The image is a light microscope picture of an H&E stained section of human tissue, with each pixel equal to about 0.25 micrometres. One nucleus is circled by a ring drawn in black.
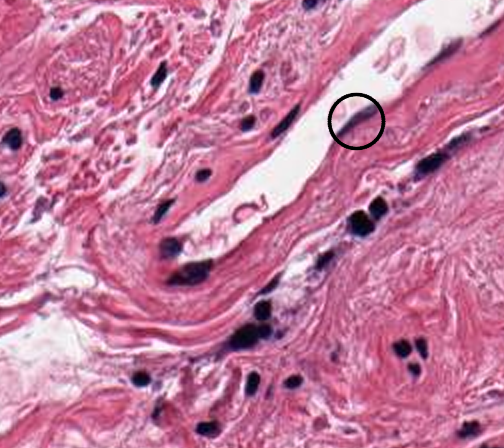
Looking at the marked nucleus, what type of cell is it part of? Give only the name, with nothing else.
endothelial cell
